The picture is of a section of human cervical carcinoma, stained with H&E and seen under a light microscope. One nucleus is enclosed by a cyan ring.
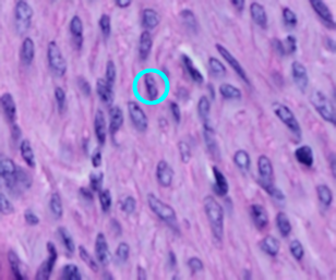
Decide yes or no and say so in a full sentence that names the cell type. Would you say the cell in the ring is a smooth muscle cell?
Yes, the cell in the ring has been identified as a smooth muscle cell.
